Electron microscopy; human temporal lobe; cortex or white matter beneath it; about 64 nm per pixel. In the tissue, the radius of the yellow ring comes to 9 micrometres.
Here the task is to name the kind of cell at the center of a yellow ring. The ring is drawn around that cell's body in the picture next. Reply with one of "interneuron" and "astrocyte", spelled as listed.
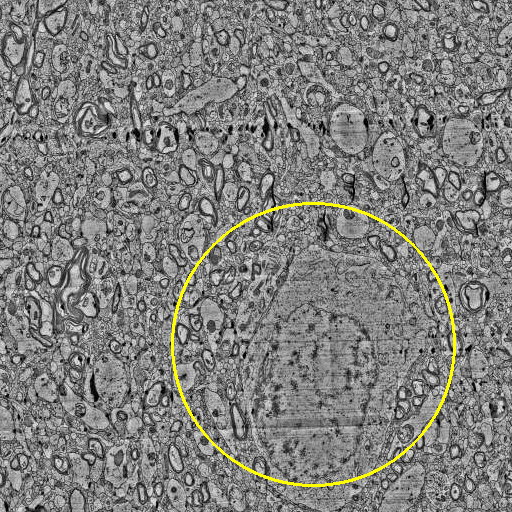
interneuron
